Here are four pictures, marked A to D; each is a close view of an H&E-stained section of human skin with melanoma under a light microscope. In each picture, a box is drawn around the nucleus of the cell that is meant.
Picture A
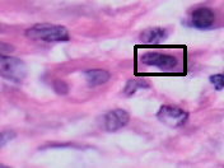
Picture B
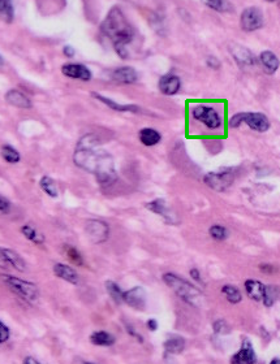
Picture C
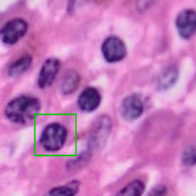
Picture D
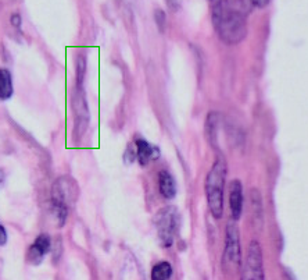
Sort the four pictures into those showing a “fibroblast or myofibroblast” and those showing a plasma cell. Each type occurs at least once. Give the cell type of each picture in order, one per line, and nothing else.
plasma cell
plasma cell
plasma cell
fibroblast or myofibroblast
